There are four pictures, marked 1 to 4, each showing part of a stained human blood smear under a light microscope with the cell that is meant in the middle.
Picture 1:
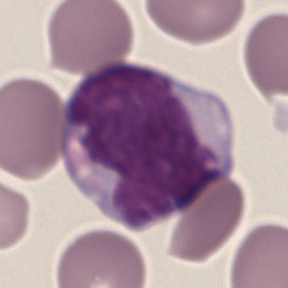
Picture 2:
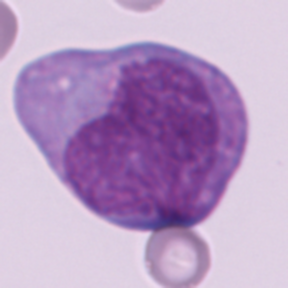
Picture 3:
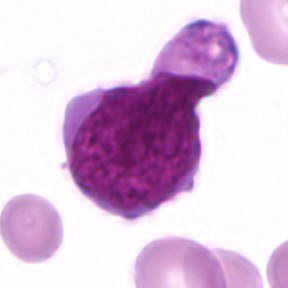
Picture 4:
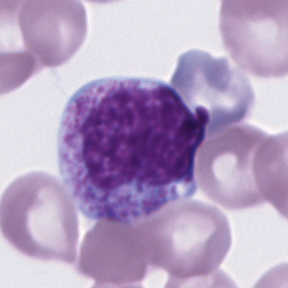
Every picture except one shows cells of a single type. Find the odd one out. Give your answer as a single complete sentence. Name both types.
The different one is picture 4; it shows a myelocyte, whereas all the others show atypical promyelocytes.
